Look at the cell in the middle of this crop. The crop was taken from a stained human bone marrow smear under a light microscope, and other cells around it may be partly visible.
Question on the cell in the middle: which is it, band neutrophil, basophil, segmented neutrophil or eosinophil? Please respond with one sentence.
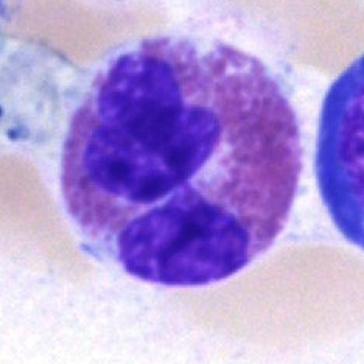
The cell of interest, in the center, is an eosinophil.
